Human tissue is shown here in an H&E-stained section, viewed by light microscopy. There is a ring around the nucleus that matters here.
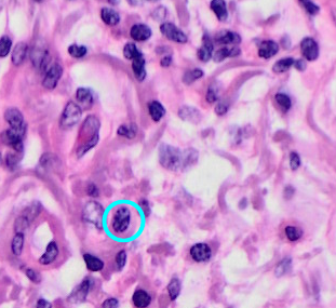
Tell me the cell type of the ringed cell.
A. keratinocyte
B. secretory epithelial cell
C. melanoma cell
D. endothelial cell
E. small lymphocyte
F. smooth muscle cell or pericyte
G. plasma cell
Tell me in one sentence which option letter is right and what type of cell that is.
Option G is the right one; the ringed cell is a plasma cell.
